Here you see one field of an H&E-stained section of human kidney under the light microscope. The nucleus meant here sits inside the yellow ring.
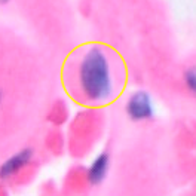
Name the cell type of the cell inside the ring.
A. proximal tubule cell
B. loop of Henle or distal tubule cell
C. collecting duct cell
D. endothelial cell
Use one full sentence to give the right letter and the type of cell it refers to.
Here the correct option is D, since the cell inside the ring is an endothelial cell.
